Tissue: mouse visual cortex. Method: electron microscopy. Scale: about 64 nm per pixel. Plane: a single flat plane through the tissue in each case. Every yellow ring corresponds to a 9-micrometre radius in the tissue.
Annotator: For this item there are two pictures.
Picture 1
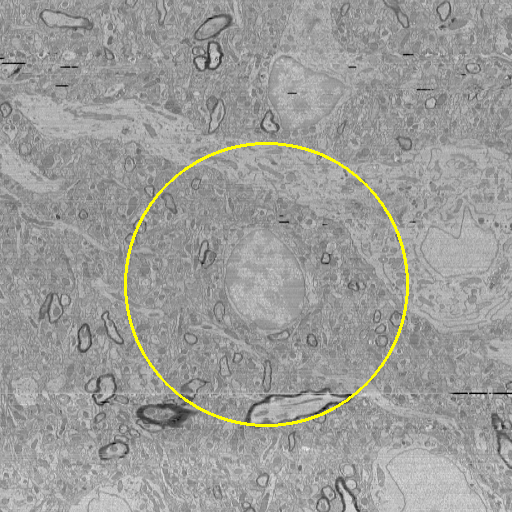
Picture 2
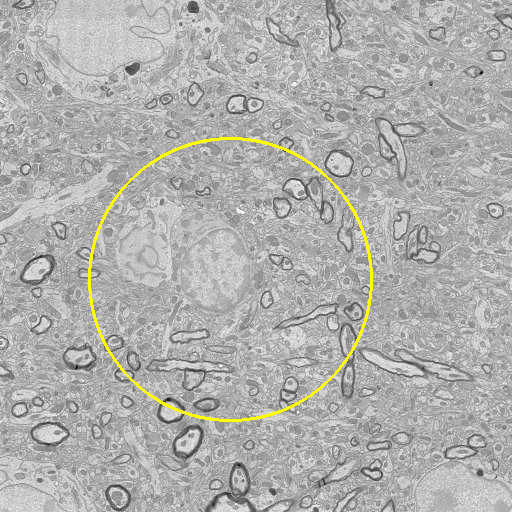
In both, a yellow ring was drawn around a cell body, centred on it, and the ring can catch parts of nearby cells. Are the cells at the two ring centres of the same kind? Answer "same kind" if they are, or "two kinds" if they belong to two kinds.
same kind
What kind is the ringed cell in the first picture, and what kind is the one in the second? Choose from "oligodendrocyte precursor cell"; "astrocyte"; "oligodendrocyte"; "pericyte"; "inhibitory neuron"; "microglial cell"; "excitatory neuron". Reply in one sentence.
Each of the ringed cells, first and second, is an oligodendrocyte.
